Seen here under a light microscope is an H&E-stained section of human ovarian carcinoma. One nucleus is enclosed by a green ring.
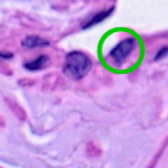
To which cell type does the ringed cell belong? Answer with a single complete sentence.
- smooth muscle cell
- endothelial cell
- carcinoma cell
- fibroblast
The classification of the ringed cell is as an endothelial cell.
